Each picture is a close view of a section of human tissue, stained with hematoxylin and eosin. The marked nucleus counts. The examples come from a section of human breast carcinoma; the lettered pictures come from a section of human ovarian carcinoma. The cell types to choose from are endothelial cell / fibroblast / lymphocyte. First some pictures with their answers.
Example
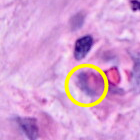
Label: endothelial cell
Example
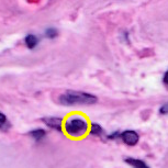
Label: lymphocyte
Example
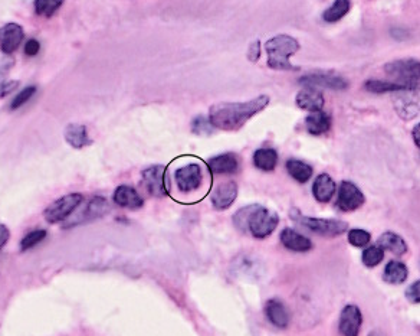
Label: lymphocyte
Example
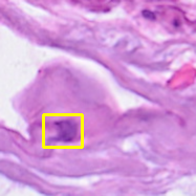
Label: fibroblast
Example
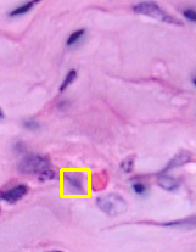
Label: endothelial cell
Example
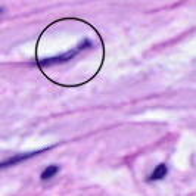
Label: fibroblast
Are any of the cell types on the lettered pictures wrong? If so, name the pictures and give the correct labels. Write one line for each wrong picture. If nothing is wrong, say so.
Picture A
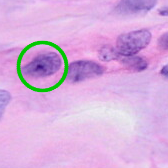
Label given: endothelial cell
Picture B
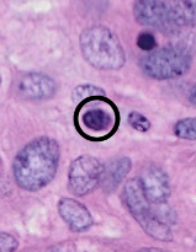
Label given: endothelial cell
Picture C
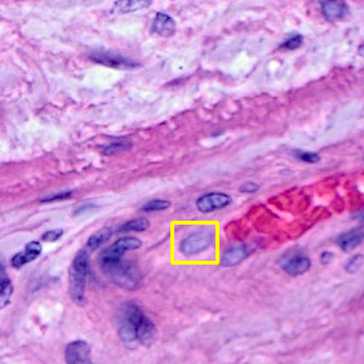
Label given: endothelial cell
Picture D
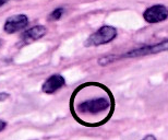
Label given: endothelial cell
B should be lymphocyte, not endothelial cell
D should be lymphocyte, not endothelial cell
